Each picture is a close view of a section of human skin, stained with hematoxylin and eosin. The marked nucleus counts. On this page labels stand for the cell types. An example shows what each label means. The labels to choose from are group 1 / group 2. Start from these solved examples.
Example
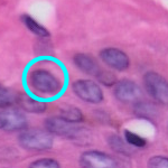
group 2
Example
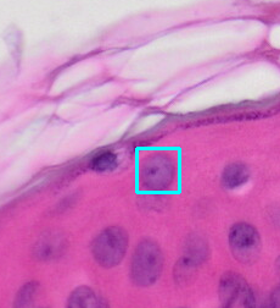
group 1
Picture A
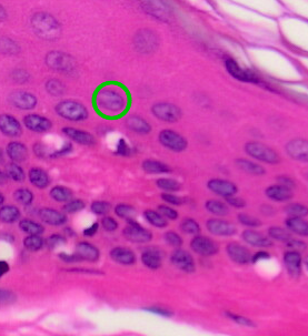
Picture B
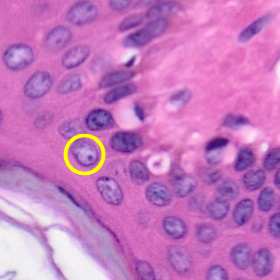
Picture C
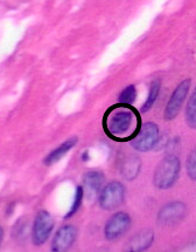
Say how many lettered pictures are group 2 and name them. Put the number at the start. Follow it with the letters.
Count: 1 (C)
